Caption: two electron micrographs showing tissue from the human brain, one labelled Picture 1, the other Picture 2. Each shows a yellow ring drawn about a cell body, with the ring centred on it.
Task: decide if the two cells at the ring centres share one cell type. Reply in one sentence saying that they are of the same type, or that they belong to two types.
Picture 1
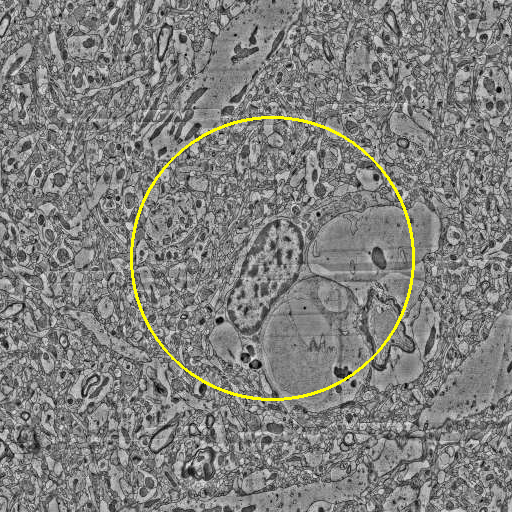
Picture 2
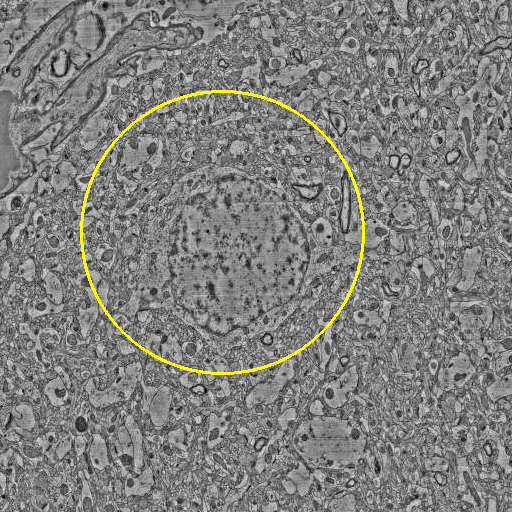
The cells at the ring centres in Picture 1 and Picture 2 belong to two types.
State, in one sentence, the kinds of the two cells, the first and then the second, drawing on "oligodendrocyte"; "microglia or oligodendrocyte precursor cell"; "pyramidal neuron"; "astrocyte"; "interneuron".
The ring in the second picture is centred on an interneuron, the ring in the first on a microglial cell or oligodendrocyte precursor cell.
